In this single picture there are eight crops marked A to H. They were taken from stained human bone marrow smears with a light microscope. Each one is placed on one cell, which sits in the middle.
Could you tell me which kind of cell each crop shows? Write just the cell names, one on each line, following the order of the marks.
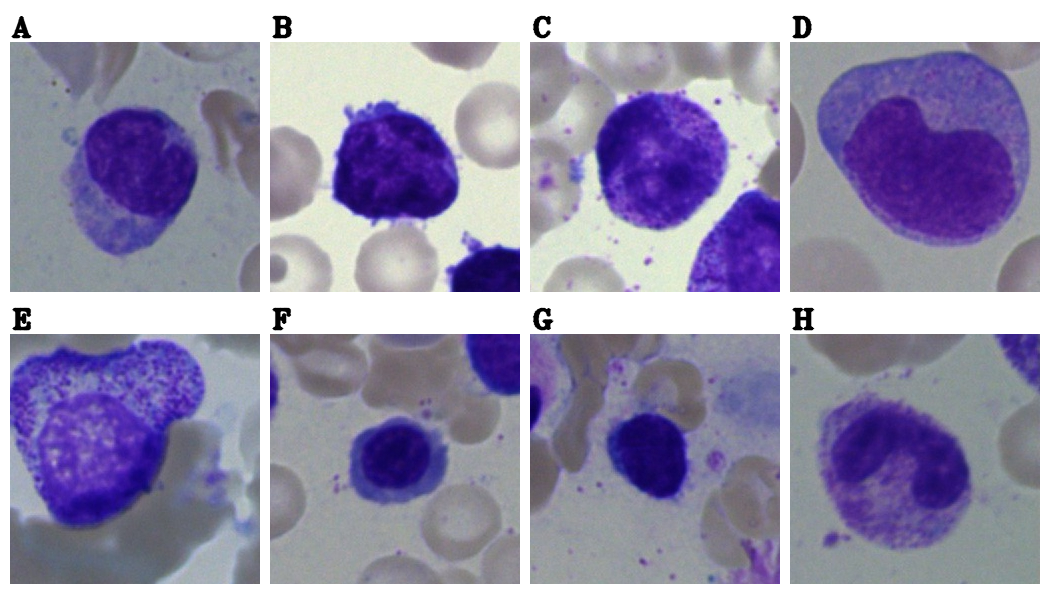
monocyte
blast
metamyelocyte
monocyte
myelocyte
erythroblast
lymphocyte
band neutrophil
